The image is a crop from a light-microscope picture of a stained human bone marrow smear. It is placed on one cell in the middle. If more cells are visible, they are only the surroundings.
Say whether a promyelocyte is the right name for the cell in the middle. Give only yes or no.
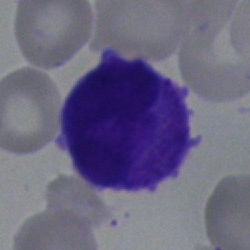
no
